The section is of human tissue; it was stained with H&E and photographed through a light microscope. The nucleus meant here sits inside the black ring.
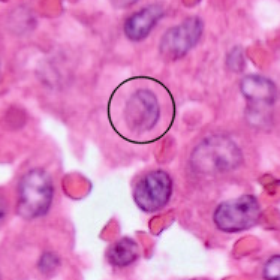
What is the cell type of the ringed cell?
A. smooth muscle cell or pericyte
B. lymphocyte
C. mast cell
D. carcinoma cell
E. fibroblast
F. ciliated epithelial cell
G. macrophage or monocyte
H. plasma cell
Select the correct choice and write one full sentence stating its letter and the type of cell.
What option G states, that the ringed cell is a macrophage or monocyte, is correct.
